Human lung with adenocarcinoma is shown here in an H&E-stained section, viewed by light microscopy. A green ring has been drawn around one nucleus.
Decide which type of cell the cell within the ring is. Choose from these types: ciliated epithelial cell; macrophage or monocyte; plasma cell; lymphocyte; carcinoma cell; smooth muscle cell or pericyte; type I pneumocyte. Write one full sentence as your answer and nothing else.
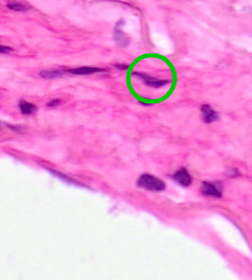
It is a smooth muscle cell or pericyte that the cell within the ring represents.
